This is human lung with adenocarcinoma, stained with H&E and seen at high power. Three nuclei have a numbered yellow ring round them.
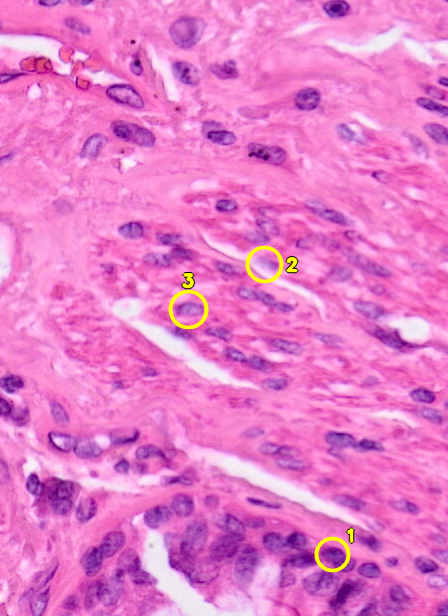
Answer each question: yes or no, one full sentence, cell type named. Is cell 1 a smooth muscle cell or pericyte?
No, the cell given number 1 is a ciliated epithelial cell, not a smooth muscle cell or pericyte.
